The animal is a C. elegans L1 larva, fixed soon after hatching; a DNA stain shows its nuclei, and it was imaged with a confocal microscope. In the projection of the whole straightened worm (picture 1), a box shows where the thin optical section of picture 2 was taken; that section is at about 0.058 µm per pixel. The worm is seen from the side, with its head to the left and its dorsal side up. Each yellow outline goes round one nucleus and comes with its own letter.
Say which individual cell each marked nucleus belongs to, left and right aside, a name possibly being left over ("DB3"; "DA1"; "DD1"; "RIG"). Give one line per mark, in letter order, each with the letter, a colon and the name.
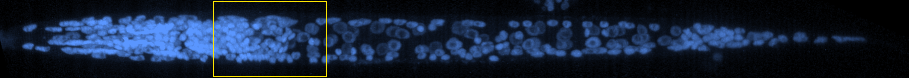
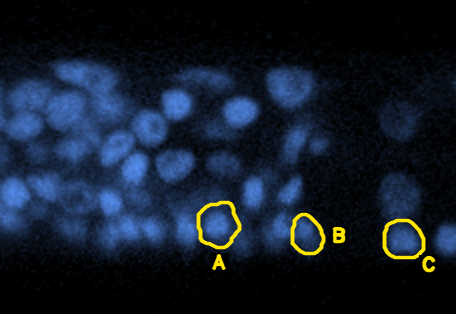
A: DD1
B: DA1
C: DB3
